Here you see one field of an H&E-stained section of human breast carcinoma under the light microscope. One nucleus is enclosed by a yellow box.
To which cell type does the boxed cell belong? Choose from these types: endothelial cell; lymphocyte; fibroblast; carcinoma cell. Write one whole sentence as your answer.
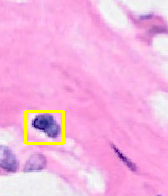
As for its identity, the boxed cell is a lymphocyte.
